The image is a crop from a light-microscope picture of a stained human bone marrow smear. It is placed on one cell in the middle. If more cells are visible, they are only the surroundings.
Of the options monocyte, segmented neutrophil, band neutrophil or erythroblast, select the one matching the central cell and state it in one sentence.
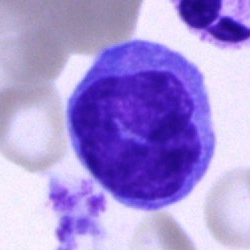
This crop has a monocyte at its centre.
